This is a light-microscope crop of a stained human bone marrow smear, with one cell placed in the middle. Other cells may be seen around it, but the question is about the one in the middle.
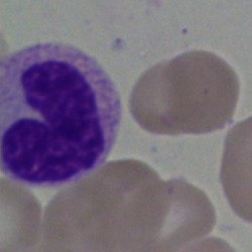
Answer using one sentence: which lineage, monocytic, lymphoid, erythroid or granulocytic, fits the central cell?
The cell in the middle belongs to the granulocytic lineage.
